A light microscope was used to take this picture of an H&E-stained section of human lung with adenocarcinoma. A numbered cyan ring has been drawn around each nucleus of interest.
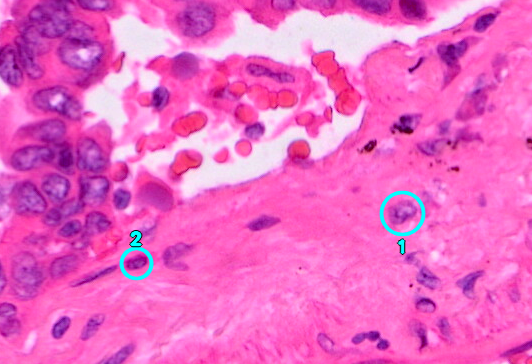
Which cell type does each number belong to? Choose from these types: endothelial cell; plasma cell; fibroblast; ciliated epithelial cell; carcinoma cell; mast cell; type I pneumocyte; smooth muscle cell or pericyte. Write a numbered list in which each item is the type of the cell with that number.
1. fibroblast
2. mast cell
